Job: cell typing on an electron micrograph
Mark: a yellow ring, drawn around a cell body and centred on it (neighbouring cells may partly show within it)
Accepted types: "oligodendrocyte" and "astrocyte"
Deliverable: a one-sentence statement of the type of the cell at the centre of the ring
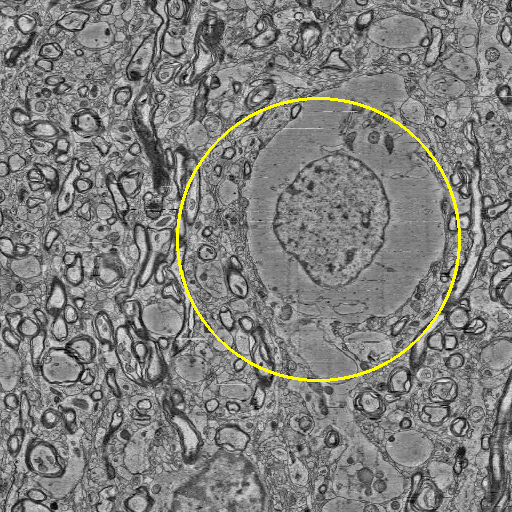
The centred cell body is that of an astrocyte.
